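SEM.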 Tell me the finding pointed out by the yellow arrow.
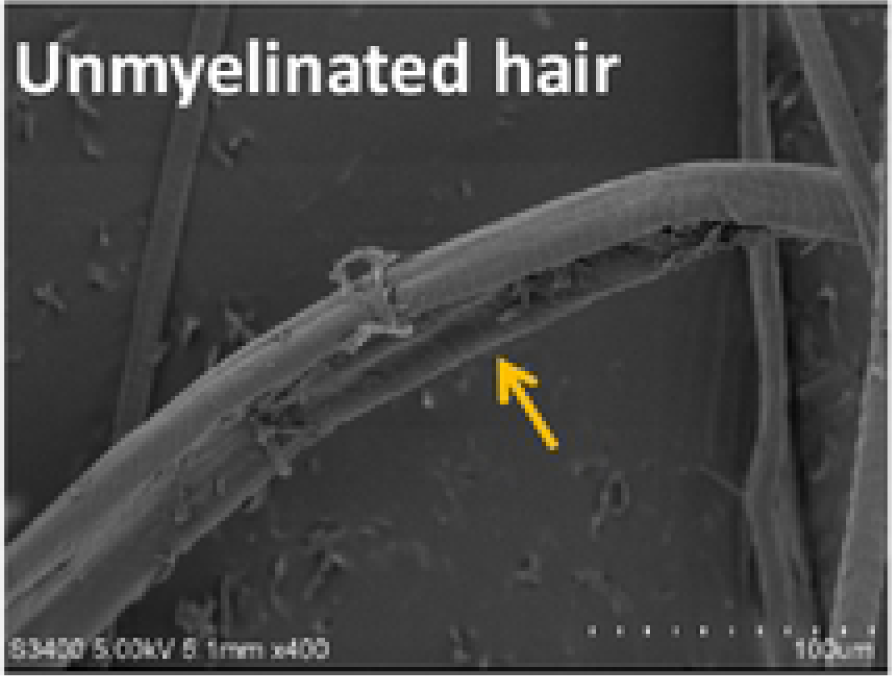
Lesions and less well-defined areas in the cuticular septation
